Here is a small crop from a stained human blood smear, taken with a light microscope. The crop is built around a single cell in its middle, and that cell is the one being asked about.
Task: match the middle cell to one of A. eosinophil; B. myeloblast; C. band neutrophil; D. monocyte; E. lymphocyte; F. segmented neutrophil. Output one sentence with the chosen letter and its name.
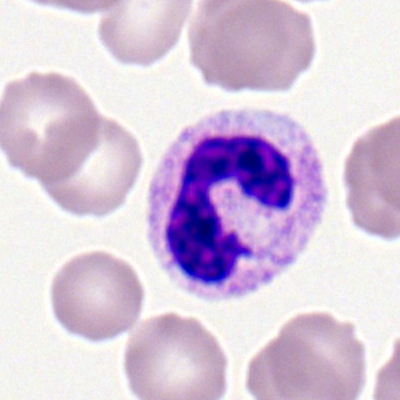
Since the cell in the middle is a segmented neutrophil, option F is correct.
